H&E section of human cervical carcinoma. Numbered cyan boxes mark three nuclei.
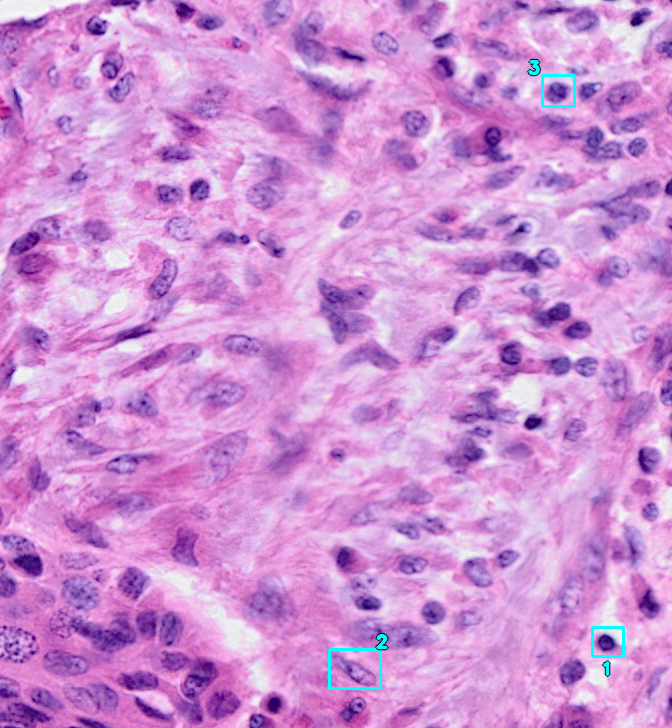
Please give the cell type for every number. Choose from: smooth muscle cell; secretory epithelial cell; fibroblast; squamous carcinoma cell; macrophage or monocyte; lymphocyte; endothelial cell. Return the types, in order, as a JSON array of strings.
["lymphocyte", "endothelial cell", "lymphocyte"]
